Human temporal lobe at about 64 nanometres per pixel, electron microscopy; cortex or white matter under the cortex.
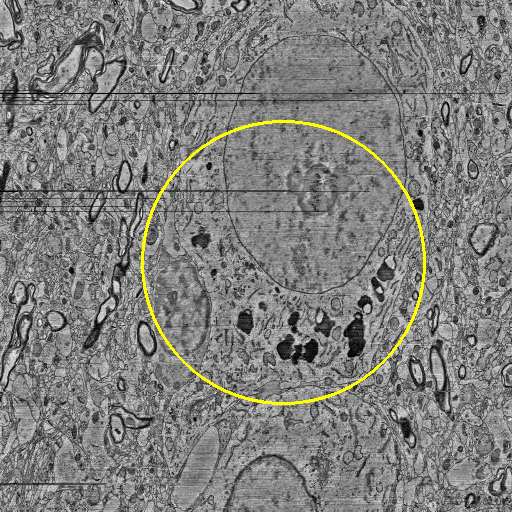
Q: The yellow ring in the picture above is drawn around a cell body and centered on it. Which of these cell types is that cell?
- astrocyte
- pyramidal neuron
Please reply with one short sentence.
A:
The cell body at the ring's center belongs to a pyramidal neuron.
